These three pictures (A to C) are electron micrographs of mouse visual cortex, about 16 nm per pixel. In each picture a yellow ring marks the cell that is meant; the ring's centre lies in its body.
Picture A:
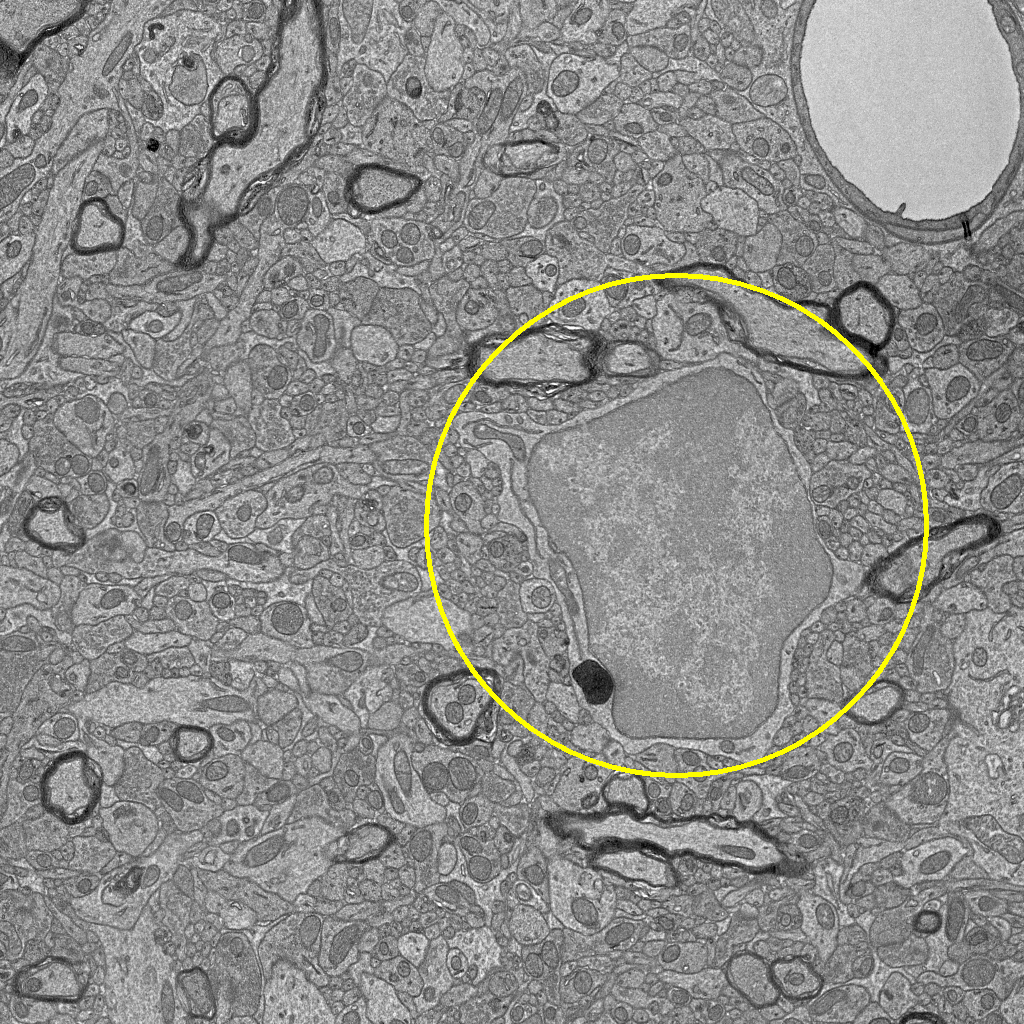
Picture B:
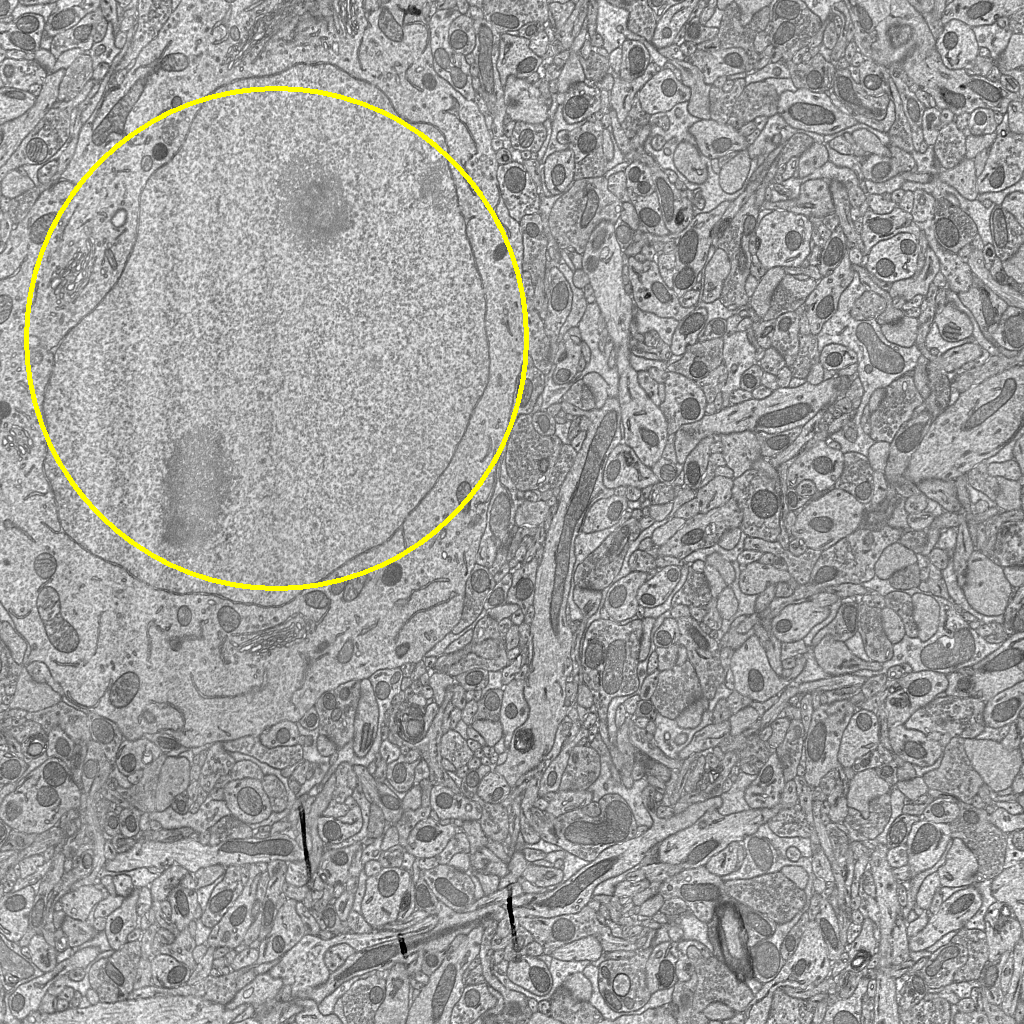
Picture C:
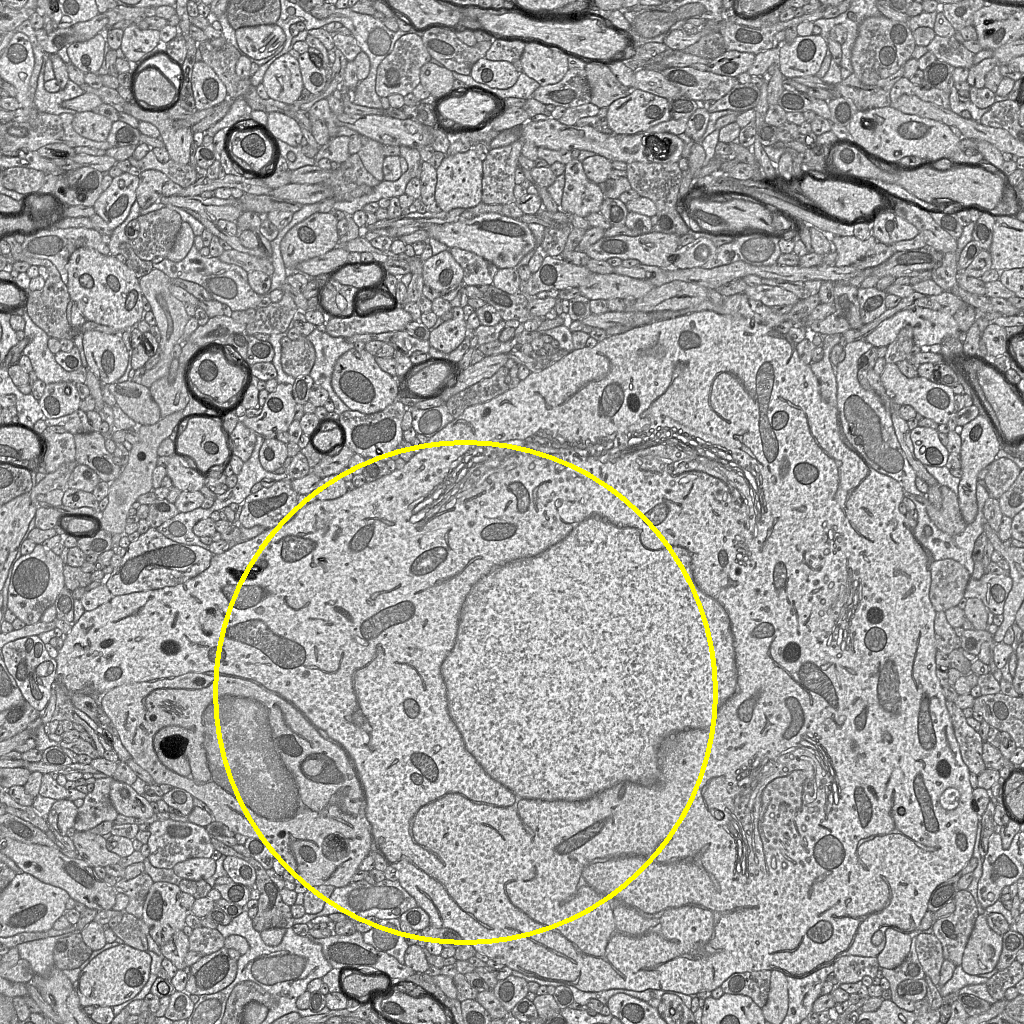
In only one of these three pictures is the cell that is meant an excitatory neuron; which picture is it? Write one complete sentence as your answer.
The picture with the excitatory neuron is B.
